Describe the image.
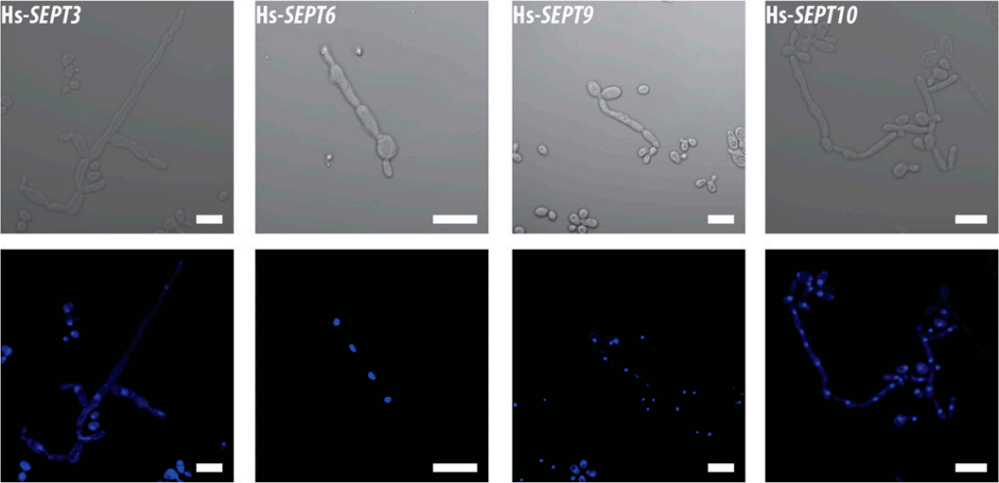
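Budding yeast cells are shown in bright field above and with blue-stained nuclei below. Many cells grow as long tubular chains, some branched, instead of the usual small round or oval budding cells. Round and oval cells, some budding, lie next to these elongated chains. In the blue images, several nuclei lie spaced along the length of each elongated cell.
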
